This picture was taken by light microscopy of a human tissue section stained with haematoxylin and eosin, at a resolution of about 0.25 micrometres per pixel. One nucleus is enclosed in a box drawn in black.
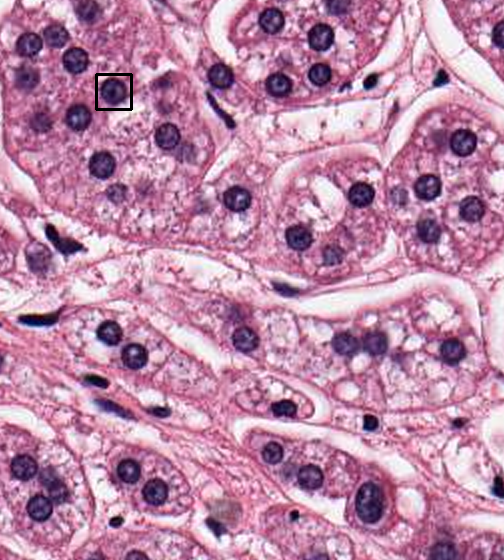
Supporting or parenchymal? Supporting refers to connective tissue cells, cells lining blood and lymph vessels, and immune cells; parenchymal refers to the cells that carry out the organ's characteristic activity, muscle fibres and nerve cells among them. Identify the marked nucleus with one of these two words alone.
parenchymal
